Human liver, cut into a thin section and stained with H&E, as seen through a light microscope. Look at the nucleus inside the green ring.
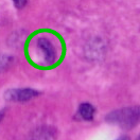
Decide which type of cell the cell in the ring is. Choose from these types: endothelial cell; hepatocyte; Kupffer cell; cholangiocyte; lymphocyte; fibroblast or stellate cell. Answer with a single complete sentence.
By its classification, the cell in the ring is a fibroblast or stellate cell.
